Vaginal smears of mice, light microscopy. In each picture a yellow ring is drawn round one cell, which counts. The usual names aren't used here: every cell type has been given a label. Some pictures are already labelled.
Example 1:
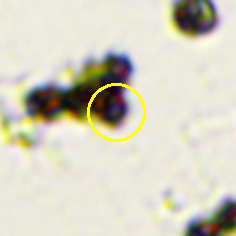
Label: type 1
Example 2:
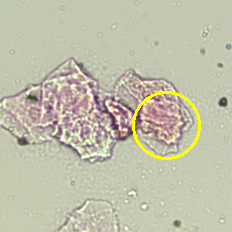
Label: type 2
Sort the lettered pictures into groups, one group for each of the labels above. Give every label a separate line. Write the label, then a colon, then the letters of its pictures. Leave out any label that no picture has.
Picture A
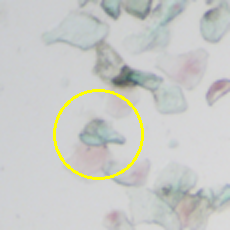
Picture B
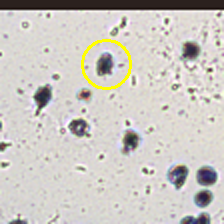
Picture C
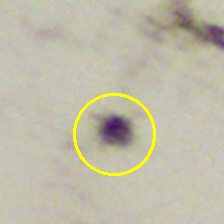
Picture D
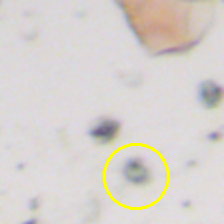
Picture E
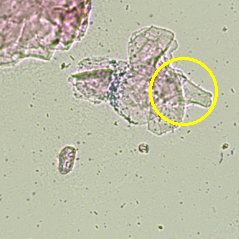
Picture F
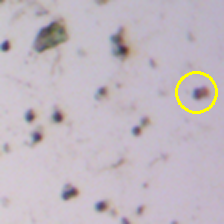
type 1: B, C, D, F
type 2: A, E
